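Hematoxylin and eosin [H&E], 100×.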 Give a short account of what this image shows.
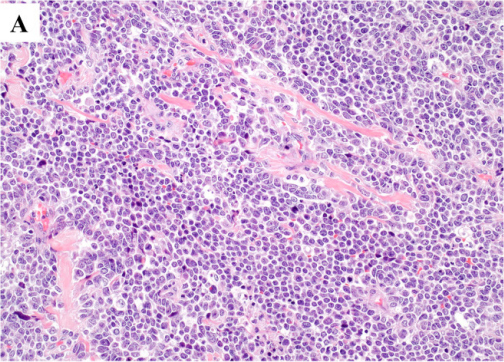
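Sheets of densely packed, round to oval tumor cells with dark purple nuclei and scant cytoplasm fill the field, crossed by thin pink strands of fibrous stroma and small vessels. The cells are monotonous and crowded, with little intervening tissue, a picture of a solid, highly cellular tumor.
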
